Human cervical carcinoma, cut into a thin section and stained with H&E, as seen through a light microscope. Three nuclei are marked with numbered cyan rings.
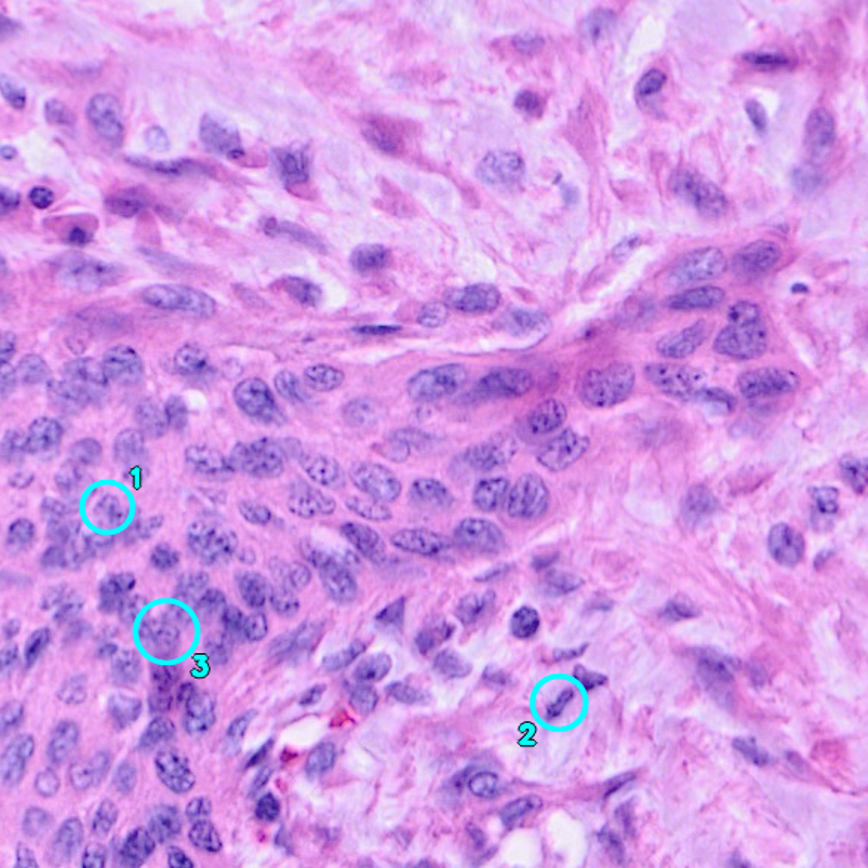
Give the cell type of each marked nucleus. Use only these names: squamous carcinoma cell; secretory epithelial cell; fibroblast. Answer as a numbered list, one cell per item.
1. squamous carcinoma cell
2. fibroblast
3. squamous carcinoma cell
